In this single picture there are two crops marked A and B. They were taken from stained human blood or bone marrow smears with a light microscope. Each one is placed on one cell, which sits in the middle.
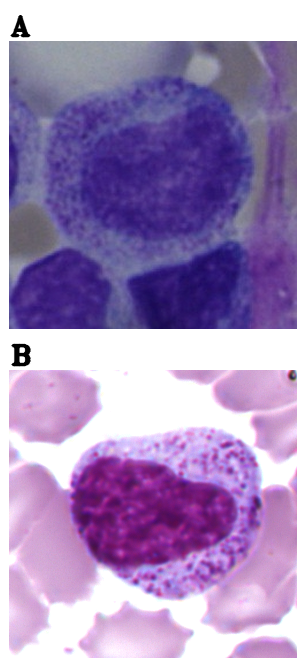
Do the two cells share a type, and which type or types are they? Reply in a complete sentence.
No, in fact crop A shows a metamyelocyte, and crop B shows a myelocyte.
